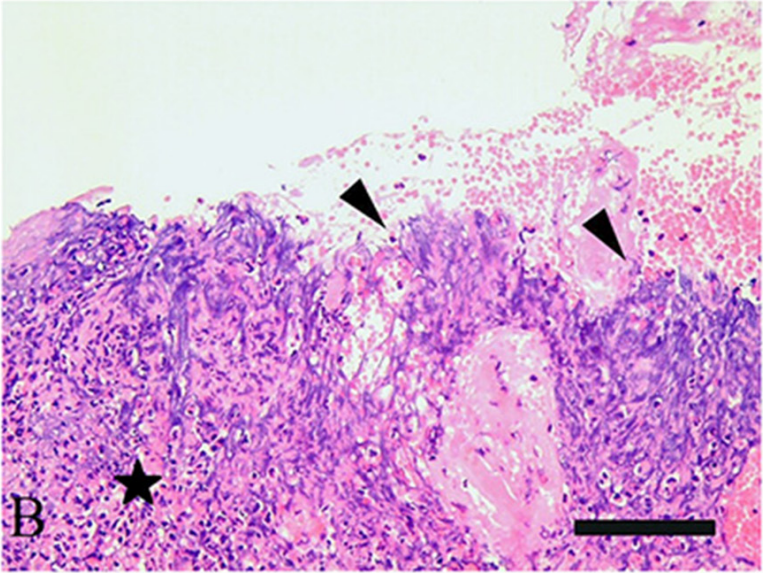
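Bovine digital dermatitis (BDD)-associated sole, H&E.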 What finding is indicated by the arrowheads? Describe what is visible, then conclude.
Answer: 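Loose, disorganized pink and purple material at the tissue surface. No intact epithelium over the surface.
Conclusion: cellular debris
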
